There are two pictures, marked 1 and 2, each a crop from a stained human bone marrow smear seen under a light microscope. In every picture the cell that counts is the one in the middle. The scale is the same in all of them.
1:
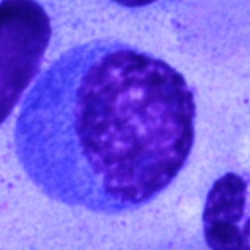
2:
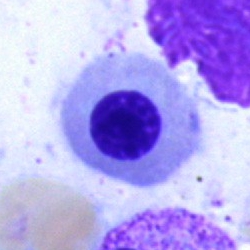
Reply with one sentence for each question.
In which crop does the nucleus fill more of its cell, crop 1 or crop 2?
Of the two, the nucleus in crop 1 makes up the greater part of its cell.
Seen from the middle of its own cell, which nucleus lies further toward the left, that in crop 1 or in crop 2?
It is the nucleus in crop 2 that lies further toward the left of its cell.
